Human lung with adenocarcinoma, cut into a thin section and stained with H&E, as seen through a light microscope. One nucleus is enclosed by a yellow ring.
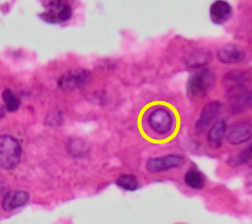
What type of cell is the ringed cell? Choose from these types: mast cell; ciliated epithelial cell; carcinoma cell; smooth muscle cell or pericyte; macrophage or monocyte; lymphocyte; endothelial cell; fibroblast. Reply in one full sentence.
The ringed cell is a macrophage or monocyte.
